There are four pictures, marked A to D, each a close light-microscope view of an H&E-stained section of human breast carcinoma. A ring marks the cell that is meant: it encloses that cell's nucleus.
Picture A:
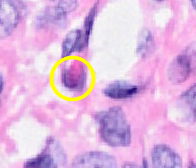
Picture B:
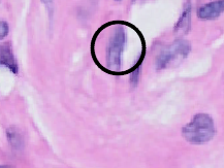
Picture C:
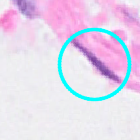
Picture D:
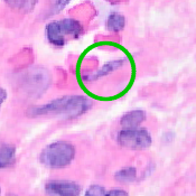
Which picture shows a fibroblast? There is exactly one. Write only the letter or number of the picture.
C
